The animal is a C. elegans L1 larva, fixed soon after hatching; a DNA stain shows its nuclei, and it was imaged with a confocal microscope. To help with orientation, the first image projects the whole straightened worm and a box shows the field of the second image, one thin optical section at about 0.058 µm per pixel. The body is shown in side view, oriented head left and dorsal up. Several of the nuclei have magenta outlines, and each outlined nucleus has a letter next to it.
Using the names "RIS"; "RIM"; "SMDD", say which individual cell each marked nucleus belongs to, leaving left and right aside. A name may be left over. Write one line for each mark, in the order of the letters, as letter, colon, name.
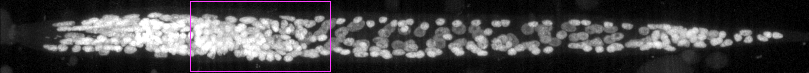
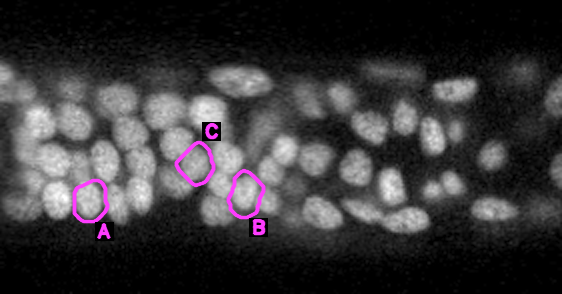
A: SMDD
B: RIS
C: RIM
